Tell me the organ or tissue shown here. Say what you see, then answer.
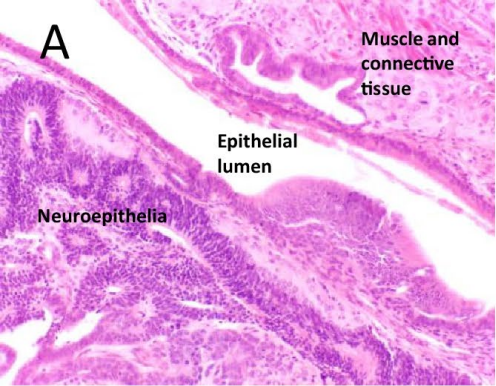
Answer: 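Teratoma. Several unlike tissues lie side by side without orderly arrangement. Densely nucleated epithelial tubes lie next to a lumen and looser stromal tissue.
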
